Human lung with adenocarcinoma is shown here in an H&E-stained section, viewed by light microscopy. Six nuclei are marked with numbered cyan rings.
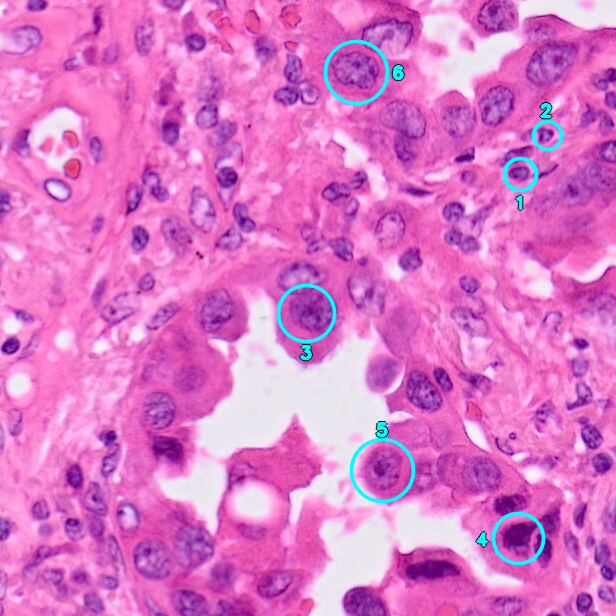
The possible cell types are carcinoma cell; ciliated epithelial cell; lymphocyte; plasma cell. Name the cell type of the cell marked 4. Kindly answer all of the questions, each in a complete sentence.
In this section, the cell tagged 4 is a carcinoma cell.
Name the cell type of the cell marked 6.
The cell that is numbered 6 is a carcinoma cell.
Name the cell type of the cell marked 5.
Cell 5, as marked in the section, is a carcinoma cell.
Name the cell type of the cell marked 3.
The cell numbered 3 has been identified as a carcinoma cell.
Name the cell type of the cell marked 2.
The nucleus labeled 2 belongs to a lymphocyte.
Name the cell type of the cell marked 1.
The cell pointed out as number 1 is a lymphocyte.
